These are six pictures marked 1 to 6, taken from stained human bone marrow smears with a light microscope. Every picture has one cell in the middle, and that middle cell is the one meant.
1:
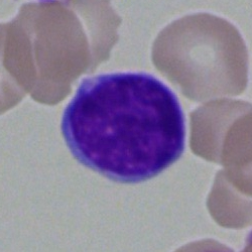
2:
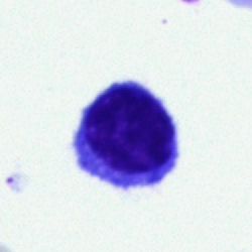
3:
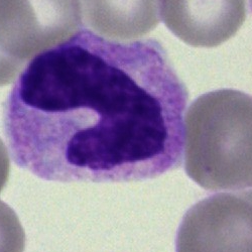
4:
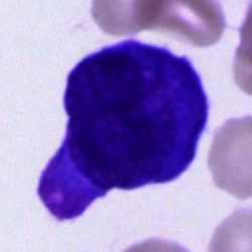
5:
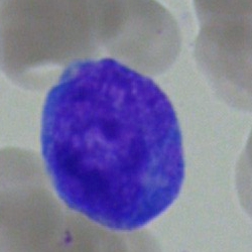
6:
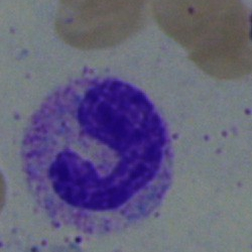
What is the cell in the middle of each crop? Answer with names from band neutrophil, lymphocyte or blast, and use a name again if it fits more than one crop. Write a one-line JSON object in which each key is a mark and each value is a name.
{"1": "lymphocyte", "2": "lymphocyte", "3": "band neutrophil", "4": "blast", "5": "blast", "6": "band neutrophil"}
